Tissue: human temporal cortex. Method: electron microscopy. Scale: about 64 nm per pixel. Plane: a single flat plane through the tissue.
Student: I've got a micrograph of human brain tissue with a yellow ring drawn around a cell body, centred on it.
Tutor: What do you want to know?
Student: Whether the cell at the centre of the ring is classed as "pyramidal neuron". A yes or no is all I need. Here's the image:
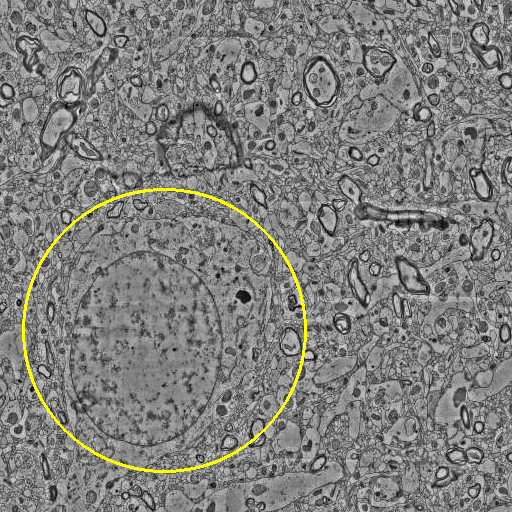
yes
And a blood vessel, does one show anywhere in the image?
No, a blood vessel is absent from this picture.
